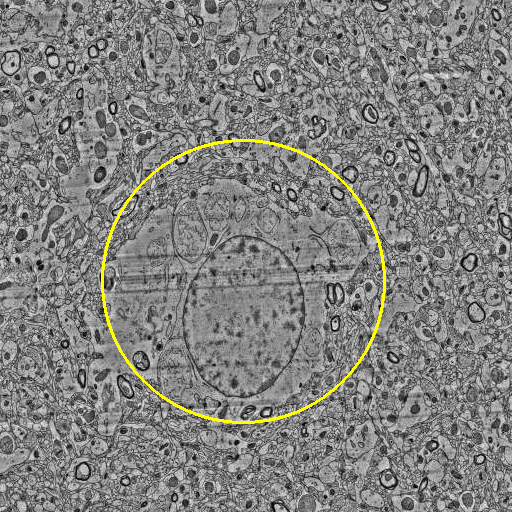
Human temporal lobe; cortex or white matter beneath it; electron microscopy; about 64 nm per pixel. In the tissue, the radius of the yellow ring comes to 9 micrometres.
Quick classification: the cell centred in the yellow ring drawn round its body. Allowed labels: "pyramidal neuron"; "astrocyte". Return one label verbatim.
astrocyte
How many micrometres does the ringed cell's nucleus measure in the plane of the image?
The nucleus has a long axis of about 10 micrometres and a short axis of about 8 micrometres in this plane.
